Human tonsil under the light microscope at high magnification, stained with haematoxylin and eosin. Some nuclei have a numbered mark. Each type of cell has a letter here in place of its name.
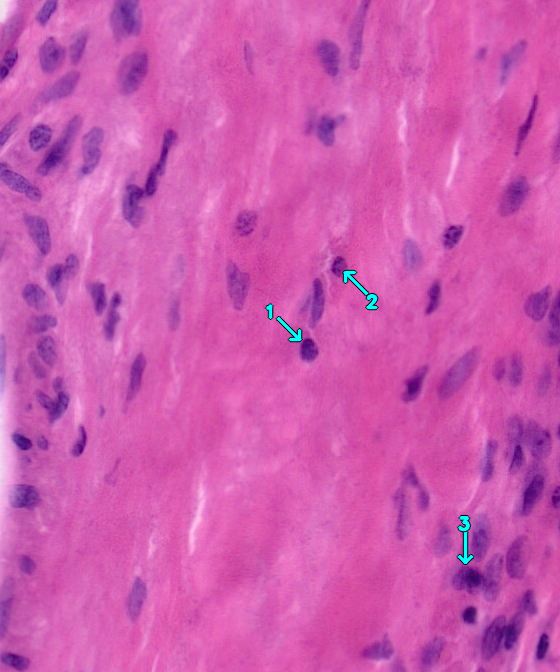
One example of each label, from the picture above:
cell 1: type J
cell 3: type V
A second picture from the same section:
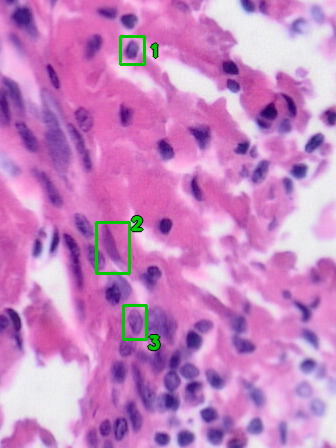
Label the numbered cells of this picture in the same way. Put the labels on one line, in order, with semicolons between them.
type J; type V; type V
